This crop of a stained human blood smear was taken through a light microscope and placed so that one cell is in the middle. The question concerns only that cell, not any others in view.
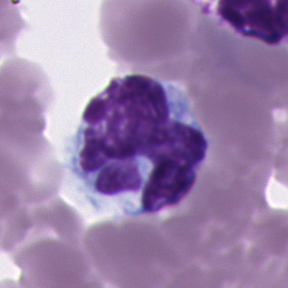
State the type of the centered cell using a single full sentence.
The cell found in the middle of this crop is a monocyte.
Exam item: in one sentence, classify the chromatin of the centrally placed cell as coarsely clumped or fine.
The chromatin of this one is coarsely clumped.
